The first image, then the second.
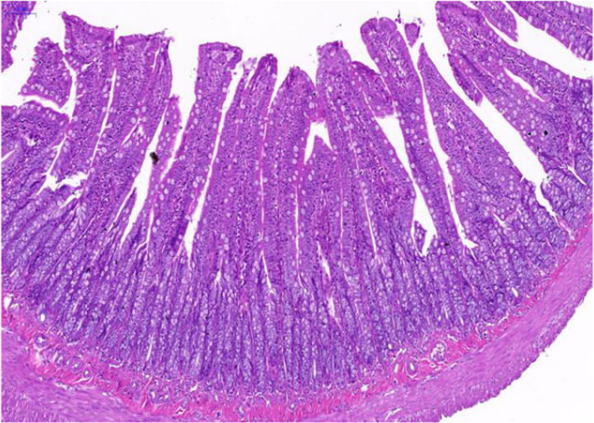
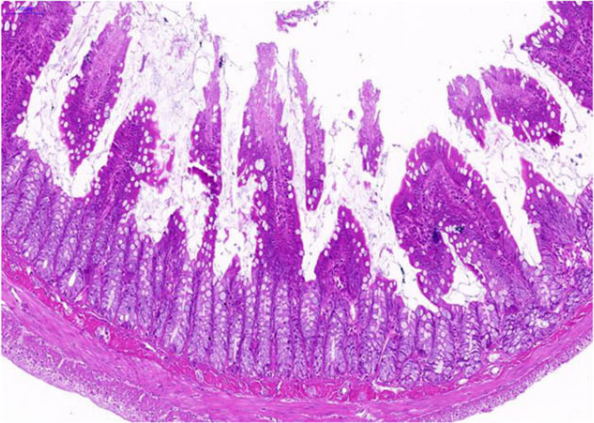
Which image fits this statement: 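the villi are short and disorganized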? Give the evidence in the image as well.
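Second image: villi are stubby, irregular and broken up, with pale disrupted tips. First image: villi are long, slender, parallel and of even height. That points to this answer: the second image.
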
